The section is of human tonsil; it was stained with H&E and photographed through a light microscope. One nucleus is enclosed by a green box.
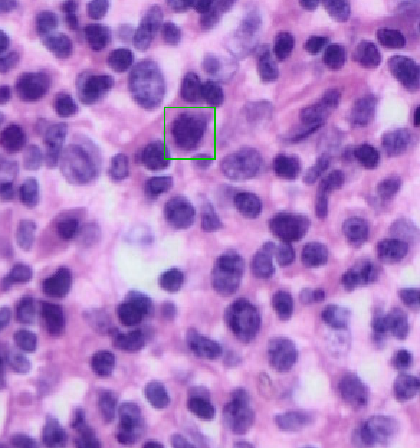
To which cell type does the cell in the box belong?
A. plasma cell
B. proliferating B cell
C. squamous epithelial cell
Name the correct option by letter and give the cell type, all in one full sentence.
Here the cell in the box is a proliferating B cell; pick option B.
